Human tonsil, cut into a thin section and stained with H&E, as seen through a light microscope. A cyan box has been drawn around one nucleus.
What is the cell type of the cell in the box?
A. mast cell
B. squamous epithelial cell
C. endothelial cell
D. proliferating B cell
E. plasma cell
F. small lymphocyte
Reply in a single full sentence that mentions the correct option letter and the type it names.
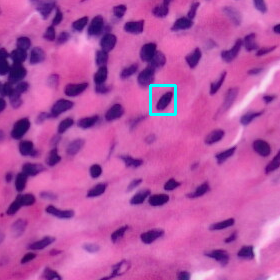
Option A properly identifies the cell in the box as a mast cell.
